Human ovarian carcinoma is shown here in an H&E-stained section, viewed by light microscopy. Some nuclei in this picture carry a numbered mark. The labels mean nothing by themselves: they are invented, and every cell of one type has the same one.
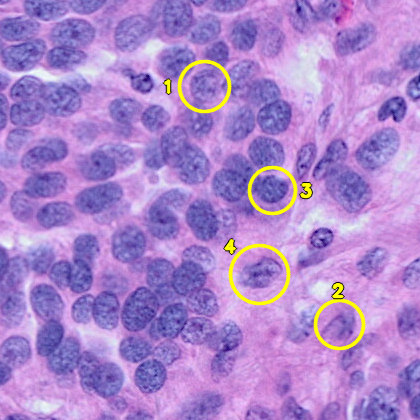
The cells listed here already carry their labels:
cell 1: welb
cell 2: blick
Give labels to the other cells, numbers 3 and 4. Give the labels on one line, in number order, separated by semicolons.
welb; blick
